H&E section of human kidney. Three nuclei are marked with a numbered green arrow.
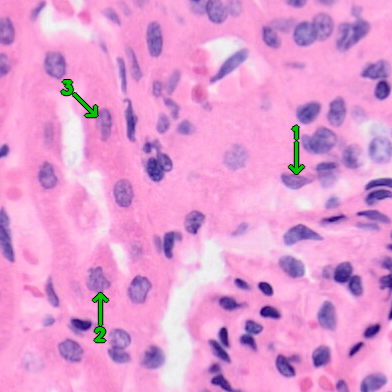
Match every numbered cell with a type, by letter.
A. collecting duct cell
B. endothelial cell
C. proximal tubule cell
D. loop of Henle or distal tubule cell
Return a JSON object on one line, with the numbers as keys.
{"1": "B", "2": "C", "3": "C"}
